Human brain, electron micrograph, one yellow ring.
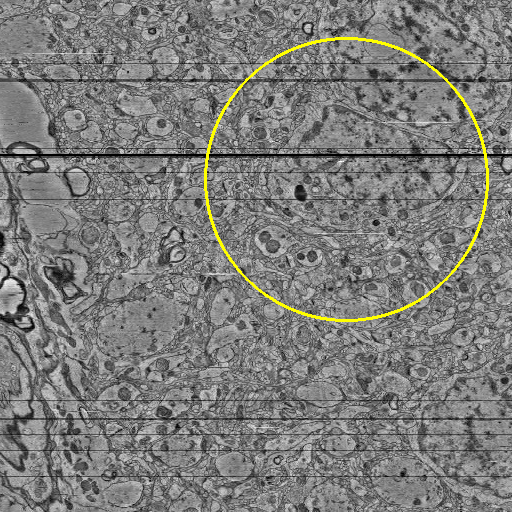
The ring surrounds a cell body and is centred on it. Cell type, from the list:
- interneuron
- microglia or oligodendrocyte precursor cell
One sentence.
The yellow ring circles an interneuron.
